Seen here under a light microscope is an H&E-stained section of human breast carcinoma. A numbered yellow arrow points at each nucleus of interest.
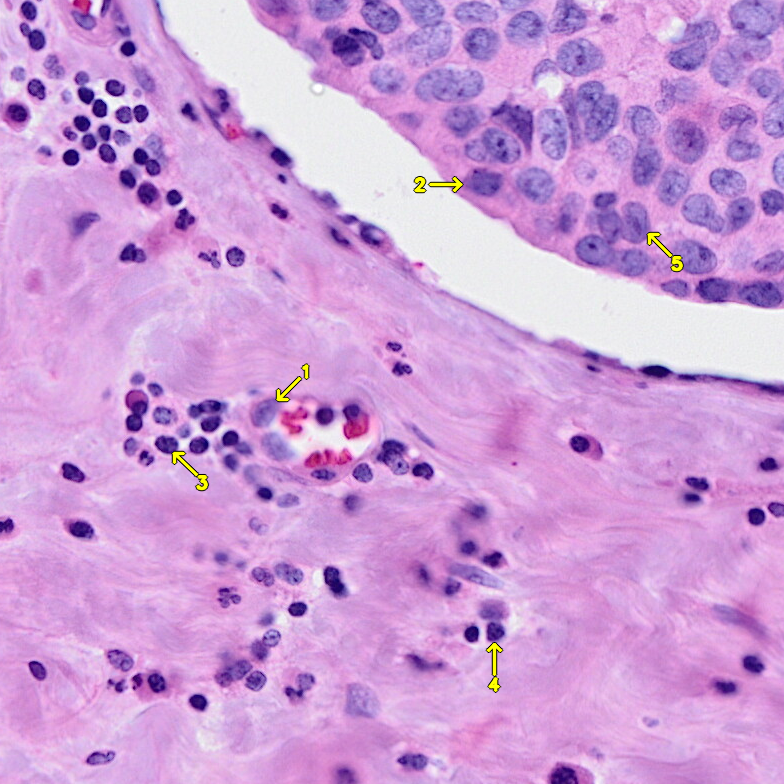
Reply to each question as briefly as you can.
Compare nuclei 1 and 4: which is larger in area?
1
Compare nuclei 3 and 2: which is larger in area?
2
